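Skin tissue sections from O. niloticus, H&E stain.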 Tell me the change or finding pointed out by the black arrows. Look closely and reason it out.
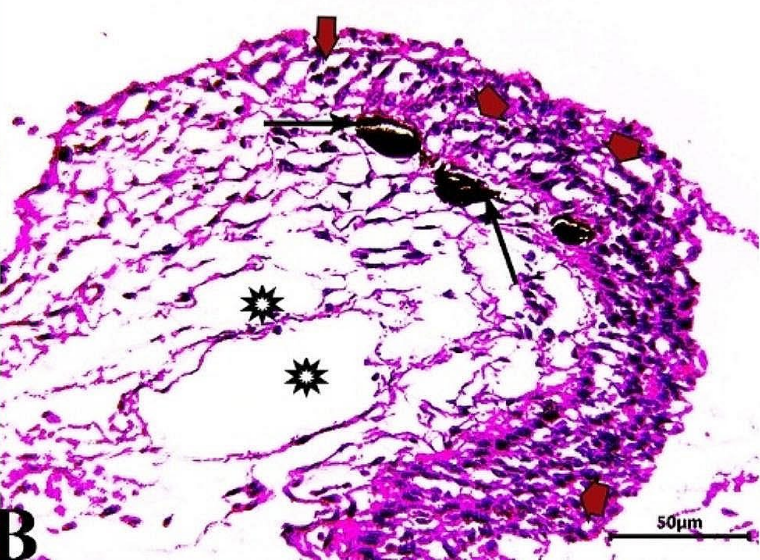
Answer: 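Dense black, elongated deposits lie just beneath the dark-nucleated outer cell layer. The deposits are few and scattered, not forming a continuous band.
Sub epidermal pigmentation.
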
